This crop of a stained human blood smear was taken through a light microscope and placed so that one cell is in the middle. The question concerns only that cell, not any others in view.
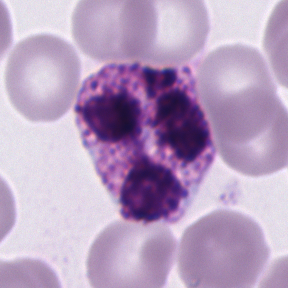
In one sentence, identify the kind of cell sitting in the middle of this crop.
The cell of interest, located centrally, is a basophil.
